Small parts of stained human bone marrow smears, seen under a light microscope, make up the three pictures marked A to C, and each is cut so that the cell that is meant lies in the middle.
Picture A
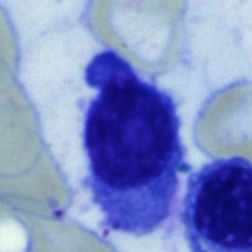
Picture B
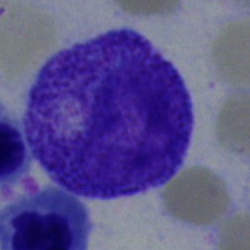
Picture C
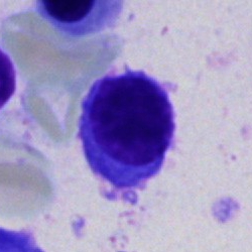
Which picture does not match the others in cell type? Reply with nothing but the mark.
B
